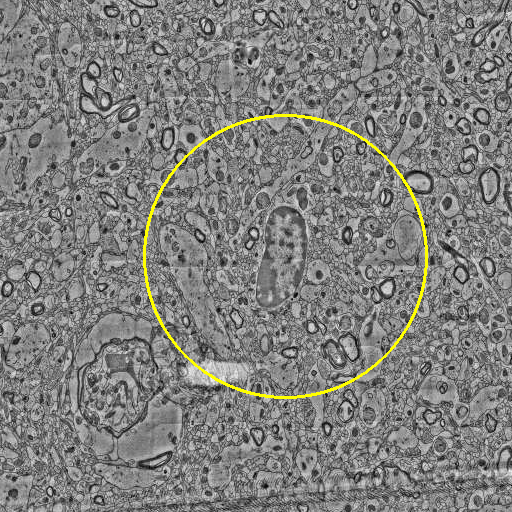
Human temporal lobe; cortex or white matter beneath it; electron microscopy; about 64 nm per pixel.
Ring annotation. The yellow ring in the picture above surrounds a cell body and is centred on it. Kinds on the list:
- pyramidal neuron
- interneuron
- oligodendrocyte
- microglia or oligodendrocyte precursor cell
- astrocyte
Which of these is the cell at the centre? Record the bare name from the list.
microglia or oligodendrocyte precursor cell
